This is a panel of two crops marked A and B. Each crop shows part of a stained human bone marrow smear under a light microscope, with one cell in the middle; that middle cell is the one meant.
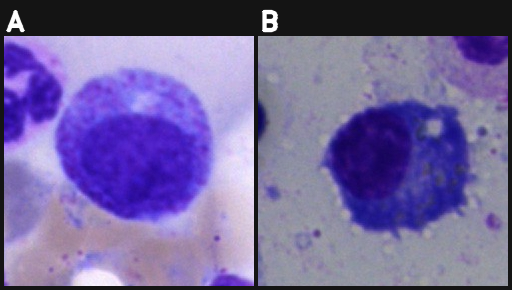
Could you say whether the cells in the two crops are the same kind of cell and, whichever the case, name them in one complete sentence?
No, crop A presents a promyelocyte; crop B presents a plasma cell.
